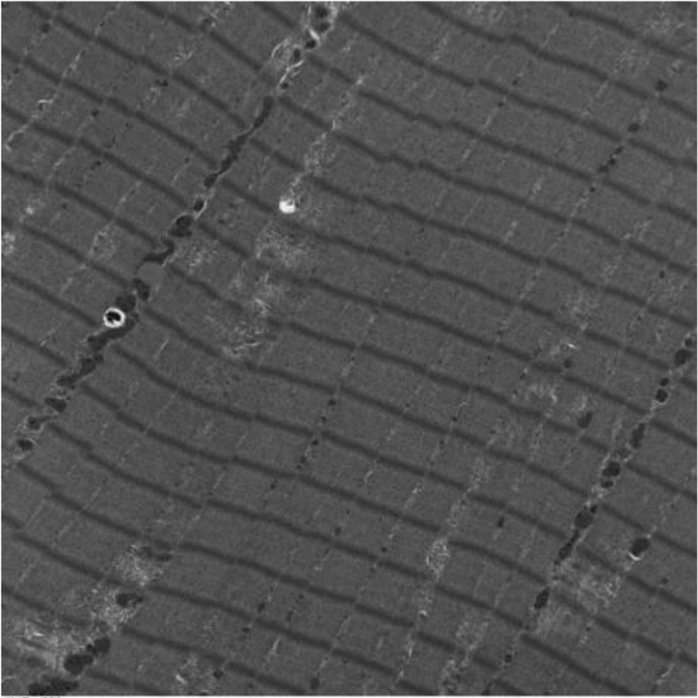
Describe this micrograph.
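Striated muscle fibre in longitudinal section showing intermyofibrillar mitochondria. Parallel myofibrils run diagonally, crossed by regular dark slightly wavy transverse bands marking sarcomeres. Small dark oval mitochondria lie between myofibrils, often in pairs beside the transverse bands, and in a few longer chains of linked organelles running along the fibre axis. Scattered pale, finely granular patches lie between myofibrils. No fibre surface or peripheral cluster of mitochondria is in view. A couple of small round vacuoles with bright rims are present.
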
